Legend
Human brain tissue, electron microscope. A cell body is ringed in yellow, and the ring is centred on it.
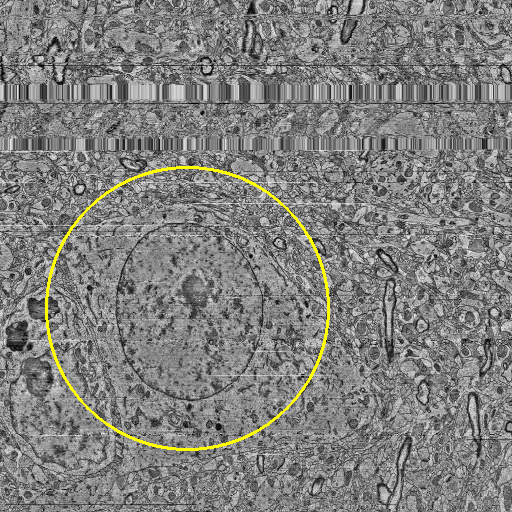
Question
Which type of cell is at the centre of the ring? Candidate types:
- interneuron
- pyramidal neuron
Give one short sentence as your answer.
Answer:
The yellow ring is centred here on a pyramidal neuron.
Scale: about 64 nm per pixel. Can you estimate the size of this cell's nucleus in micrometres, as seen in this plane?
In this plane, the nucleus of the cell at the centre of the ring measures about 12 by 10 micrometres.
